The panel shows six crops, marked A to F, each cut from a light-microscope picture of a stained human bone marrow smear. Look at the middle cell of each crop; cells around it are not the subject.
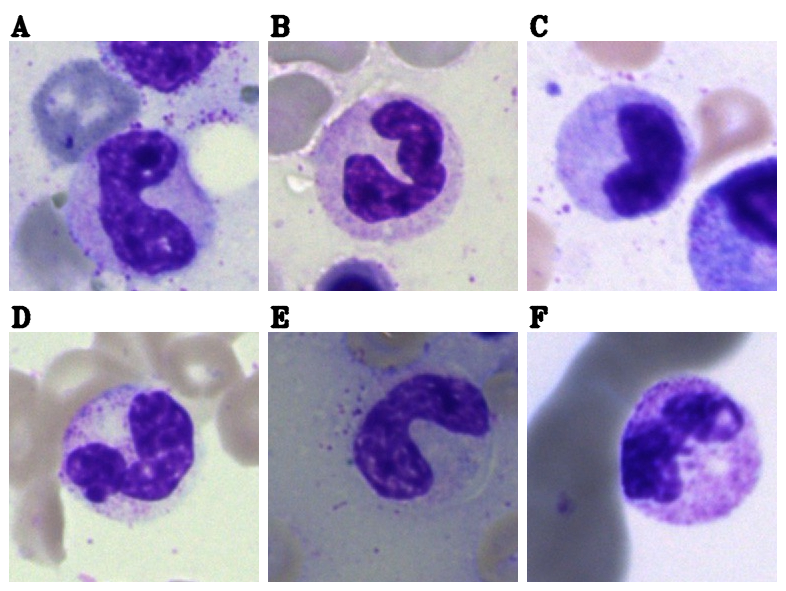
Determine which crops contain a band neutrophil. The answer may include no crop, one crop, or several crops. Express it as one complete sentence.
In crops A and E, the cells centred in the field are band neutrophils.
